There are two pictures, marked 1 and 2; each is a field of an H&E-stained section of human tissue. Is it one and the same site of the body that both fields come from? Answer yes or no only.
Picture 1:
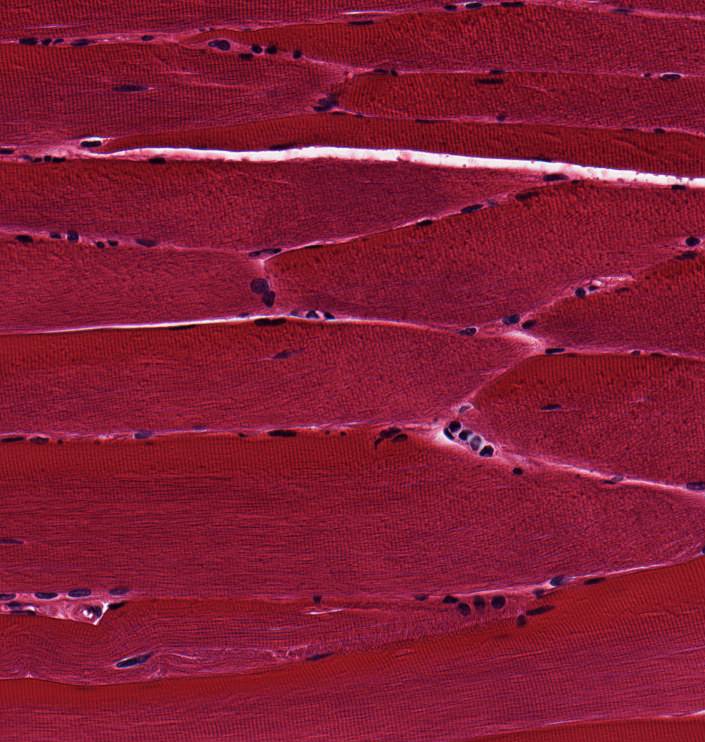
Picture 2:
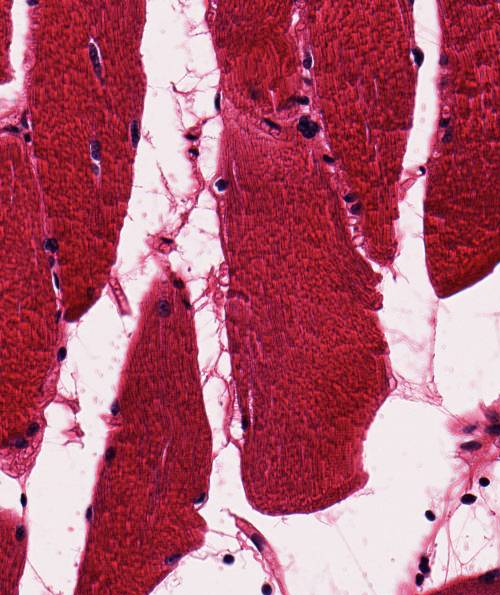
yes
